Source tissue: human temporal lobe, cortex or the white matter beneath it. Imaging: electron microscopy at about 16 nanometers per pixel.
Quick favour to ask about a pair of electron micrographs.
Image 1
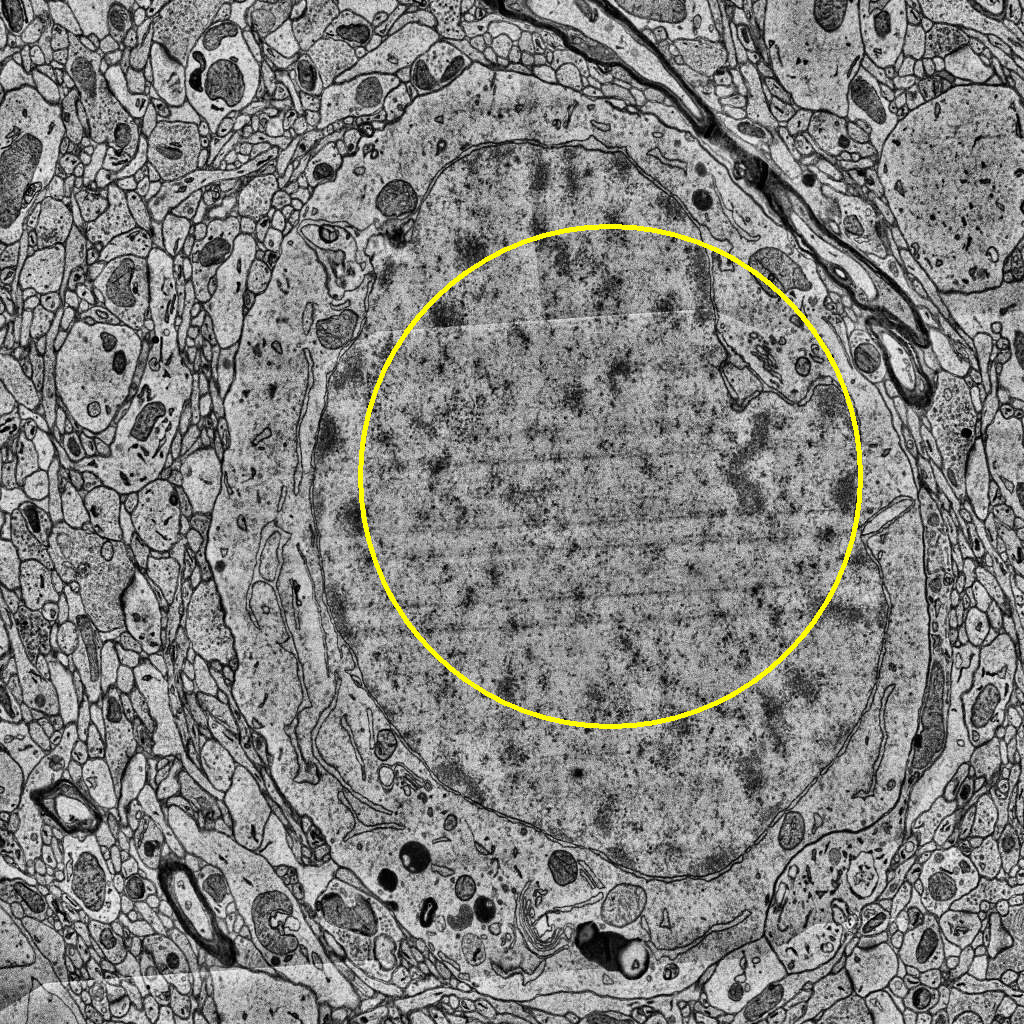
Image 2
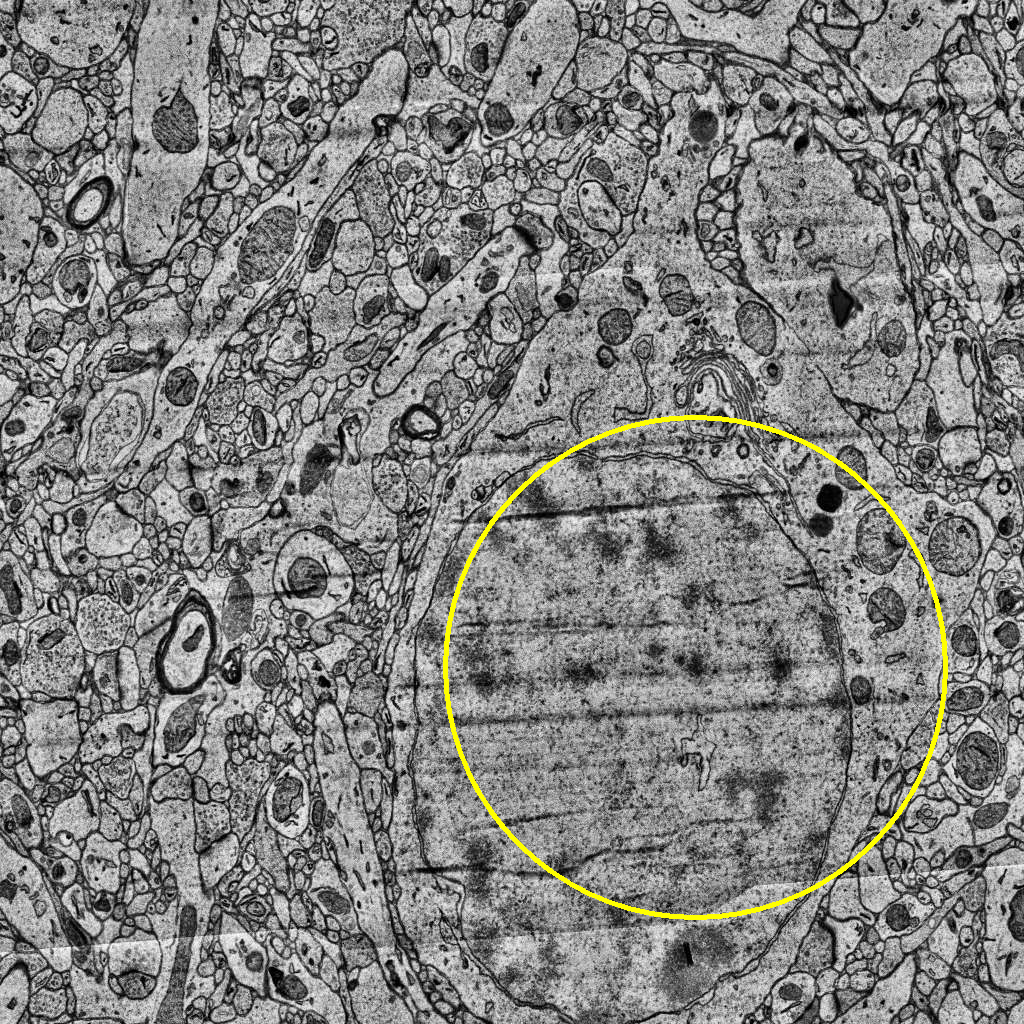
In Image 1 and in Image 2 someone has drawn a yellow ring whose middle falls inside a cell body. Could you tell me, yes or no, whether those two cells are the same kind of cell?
yes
